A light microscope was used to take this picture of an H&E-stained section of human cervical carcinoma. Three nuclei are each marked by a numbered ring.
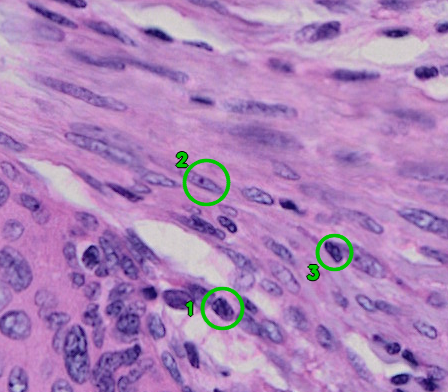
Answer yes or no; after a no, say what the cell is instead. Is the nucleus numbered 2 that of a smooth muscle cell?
Yes.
